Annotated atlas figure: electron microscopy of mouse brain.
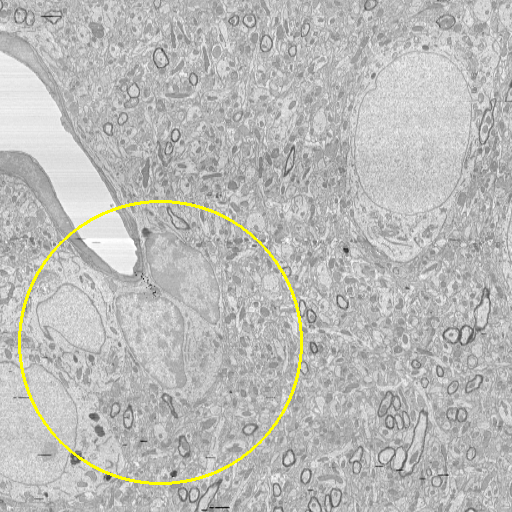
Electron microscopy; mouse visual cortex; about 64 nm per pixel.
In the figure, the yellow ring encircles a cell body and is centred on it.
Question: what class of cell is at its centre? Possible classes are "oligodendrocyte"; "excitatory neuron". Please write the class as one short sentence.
The yellow ring is drawn around an oligodendrocyte.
